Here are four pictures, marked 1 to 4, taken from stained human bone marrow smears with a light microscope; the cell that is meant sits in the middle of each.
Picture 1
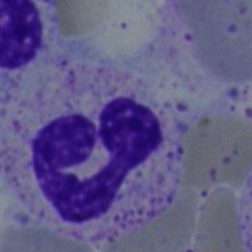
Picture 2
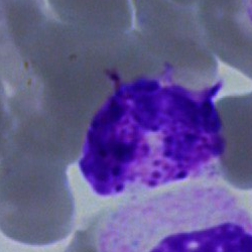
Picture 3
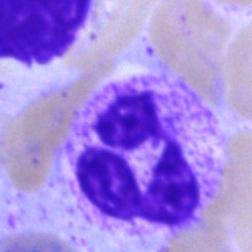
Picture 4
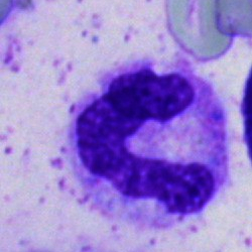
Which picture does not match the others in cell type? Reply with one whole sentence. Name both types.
Picture 2 differs, because its cell is a basophil and the rest are segmented neutrophils.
